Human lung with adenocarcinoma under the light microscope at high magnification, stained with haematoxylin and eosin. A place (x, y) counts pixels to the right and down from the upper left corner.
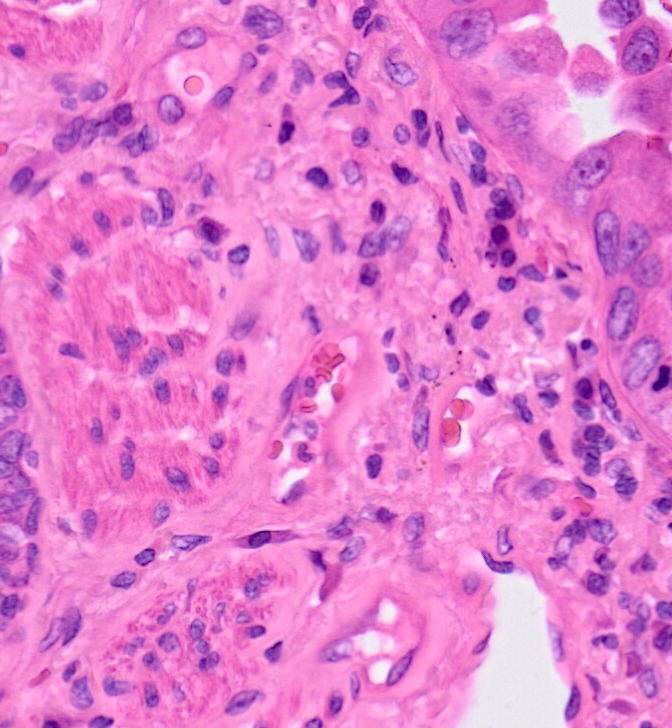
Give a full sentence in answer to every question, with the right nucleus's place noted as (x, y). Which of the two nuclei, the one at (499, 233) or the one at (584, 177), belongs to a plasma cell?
Of these two nuclei, only the one at (499, 233) belongs to a plasma cell.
